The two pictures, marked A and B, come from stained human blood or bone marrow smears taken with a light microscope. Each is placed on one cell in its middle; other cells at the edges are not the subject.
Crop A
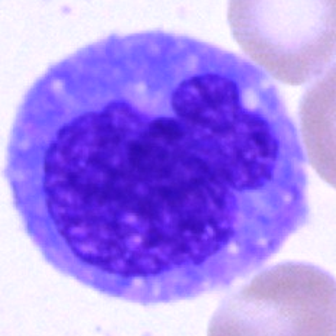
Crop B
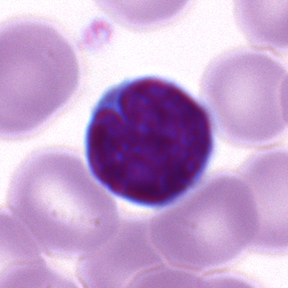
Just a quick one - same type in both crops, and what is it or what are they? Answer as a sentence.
No, crop A contains a monocyte, while crop B contains a lymphocyte.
